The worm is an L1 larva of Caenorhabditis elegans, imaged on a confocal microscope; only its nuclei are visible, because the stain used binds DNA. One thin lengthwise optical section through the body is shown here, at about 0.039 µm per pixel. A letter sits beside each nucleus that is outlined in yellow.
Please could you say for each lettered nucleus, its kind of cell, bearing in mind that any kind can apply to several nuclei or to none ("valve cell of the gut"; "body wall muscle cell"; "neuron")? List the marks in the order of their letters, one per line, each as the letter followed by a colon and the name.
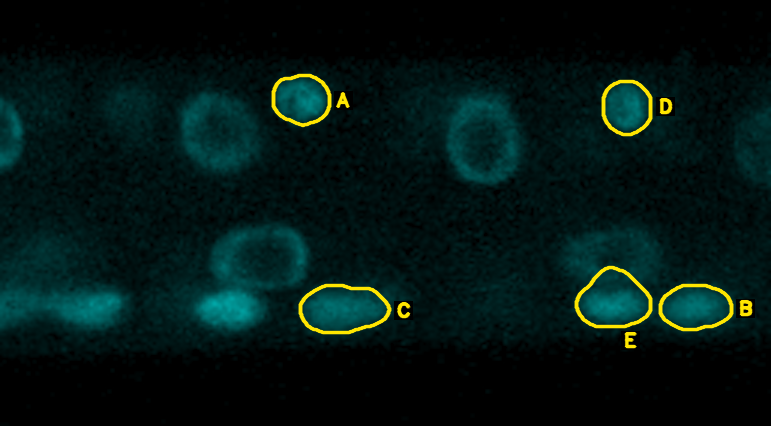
A: body wall muscle cell
B: neuron
C: neuron
D: body wall muscle cell
E: neuron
